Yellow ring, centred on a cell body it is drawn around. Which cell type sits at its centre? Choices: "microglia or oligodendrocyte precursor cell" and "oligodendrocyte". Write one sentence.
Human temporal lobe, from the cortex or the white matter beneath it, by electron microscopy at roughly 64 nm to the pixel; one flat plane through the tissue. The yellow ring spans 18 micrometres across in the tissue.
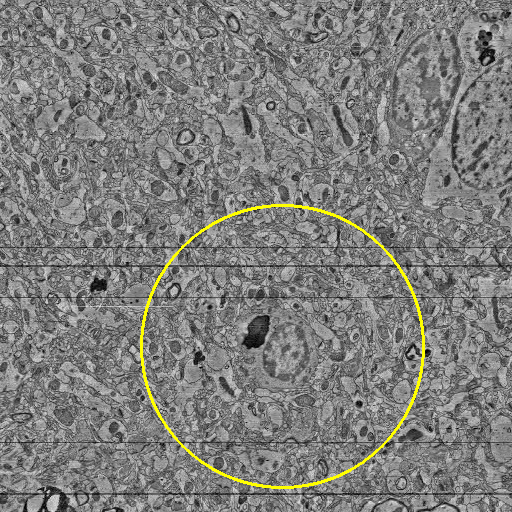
At the centre of the ring sits an oligodendrocyte.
